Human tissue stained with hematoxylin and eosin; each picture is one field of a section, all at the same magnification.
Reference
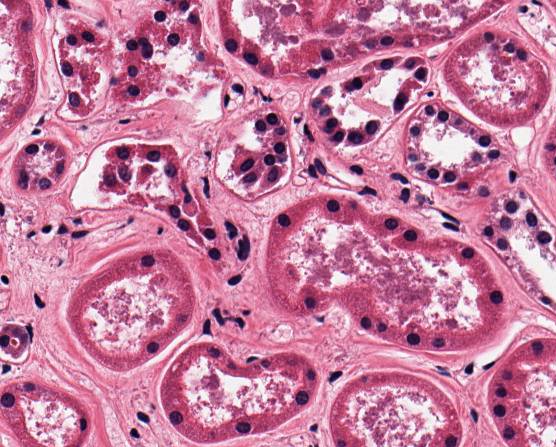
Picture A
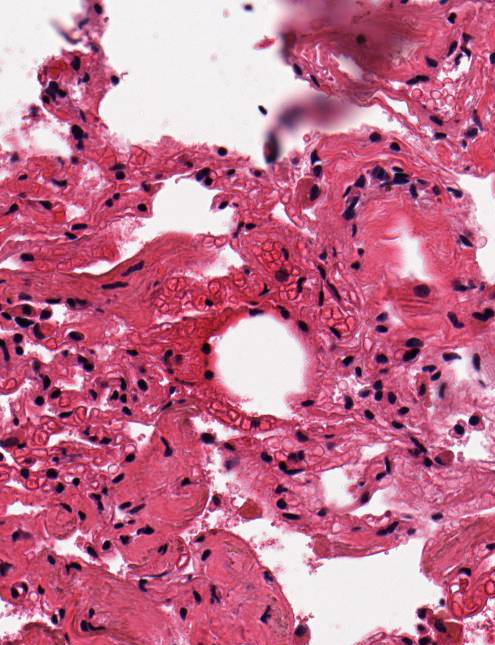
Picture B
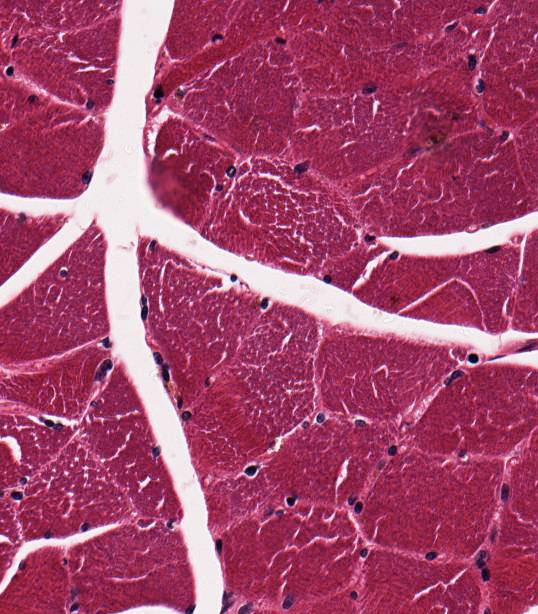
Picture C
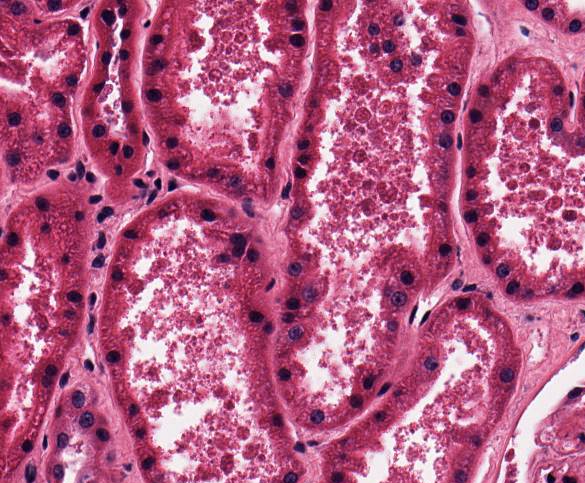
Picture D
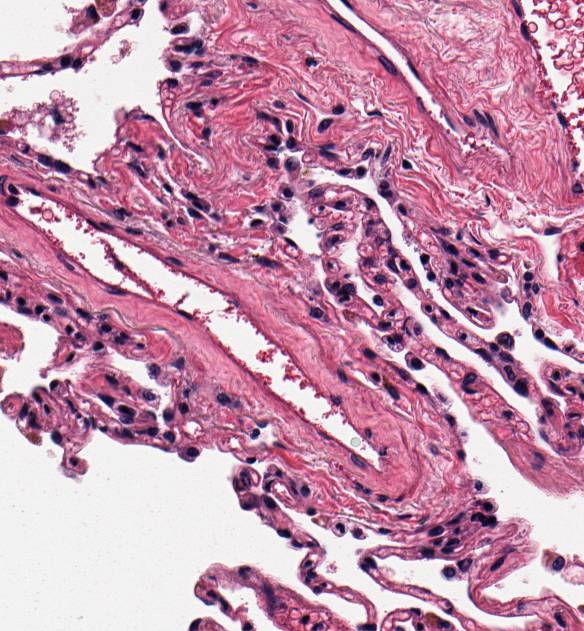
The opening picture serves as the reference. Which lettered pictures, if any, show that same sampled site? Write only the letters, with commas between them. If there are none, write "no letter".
C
